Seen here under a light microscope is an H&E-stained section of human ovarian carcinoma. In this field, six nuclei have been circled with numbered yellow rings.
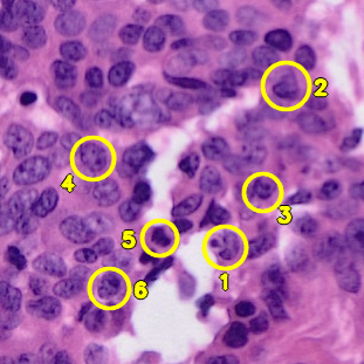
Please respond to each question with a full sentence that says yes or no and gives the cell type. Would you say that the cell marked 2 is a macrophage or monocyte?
No, it is a carcinoma cell, rather than a macrophage or monocyte, that carries number 2.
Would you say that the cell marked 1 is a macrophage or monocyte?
Yes, the cell carrying number 1 is a macrophage or monocyte.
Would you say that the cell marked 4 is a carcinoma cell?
Yes, the cell given number 4 is a carcinoma cell.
